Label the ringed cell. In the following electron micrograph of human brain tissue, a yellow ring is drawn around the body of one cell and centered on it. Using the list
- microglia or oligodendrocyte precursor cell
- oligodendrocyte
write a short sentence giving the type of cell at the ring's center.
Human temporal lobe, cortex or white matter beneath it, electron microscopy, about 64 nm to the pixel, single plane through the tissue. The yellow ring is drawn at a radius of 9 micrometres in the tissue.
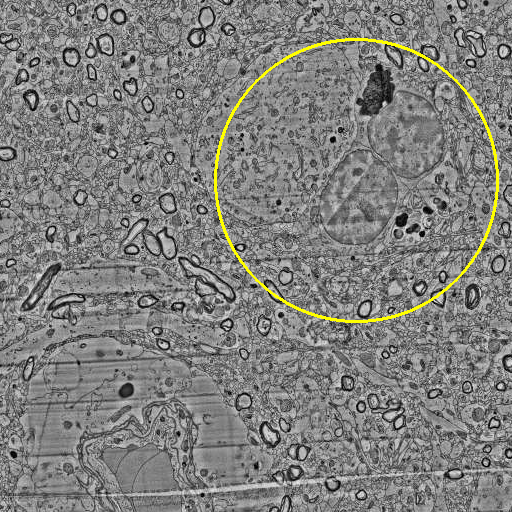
The cell body at the ring's center is that of an oligodendrocyte.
